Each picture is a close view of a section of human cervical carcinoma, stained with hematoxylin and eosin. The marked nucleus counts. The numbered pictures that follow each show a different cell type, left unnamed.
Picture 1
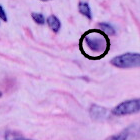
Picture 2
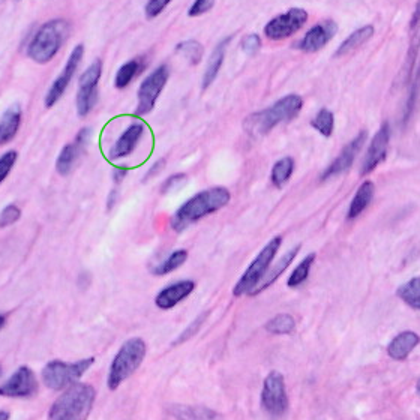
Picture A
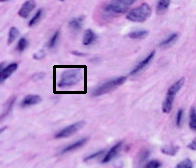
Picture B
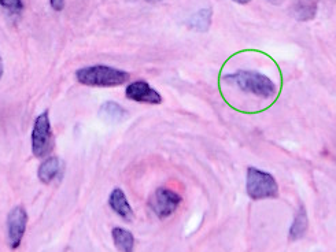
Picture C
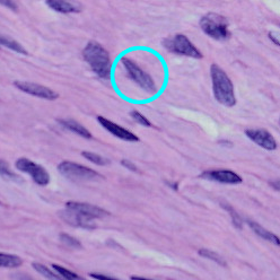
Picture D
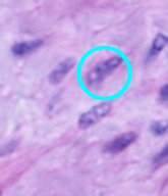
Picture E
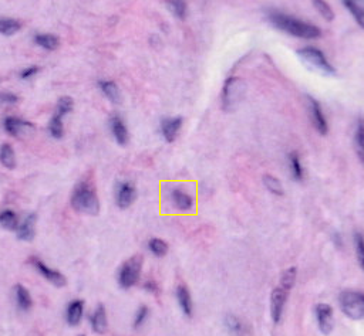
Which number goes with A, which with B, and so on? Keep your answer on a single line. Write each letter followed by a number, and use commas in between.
A 2, B 2, C 2, D 1, E 1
